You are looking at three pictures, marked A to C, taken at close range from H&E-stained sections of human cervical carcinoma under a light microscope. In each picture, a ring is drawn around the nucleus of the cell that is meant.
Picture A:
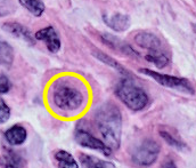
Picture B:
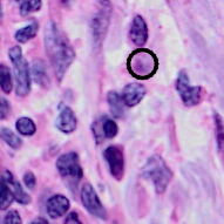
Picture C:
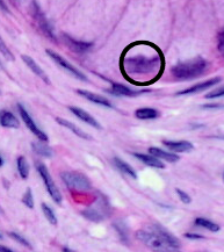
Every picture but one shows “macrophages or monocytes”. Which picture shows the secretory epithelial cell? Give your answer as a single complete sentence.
The picture with the secretory epithelial cell is C.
